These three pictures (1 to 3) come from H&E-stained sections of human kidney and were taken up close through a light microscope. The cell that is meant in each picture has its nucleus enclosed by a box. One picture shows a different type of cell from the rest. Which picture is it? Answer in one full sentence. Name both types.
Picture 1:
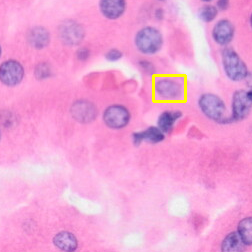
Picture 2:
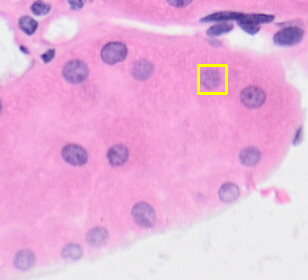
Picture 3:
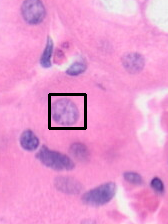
Unlike the rest, which show proximal tubule cells, picture 1 shows a collecting duct cell.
